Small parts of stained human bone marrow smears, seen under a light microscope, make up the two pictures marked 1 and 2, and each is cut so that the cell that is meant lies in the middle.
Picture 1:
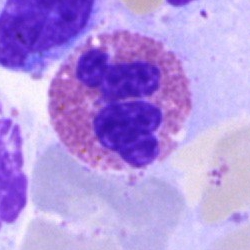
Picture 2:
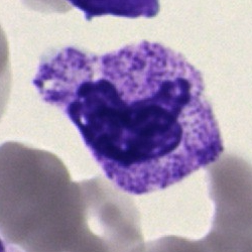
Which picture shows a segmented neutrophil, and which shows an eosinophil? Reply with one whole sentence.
Picture 1 is of an eosinophil, and picture 2 is of a segmented neutrophil.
